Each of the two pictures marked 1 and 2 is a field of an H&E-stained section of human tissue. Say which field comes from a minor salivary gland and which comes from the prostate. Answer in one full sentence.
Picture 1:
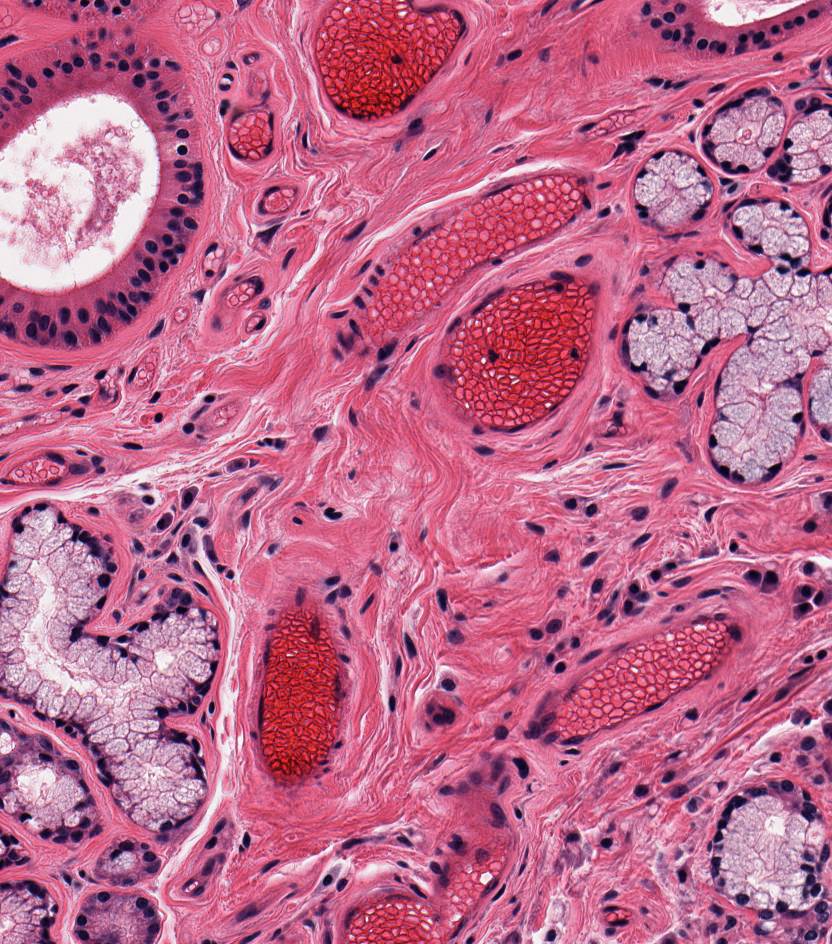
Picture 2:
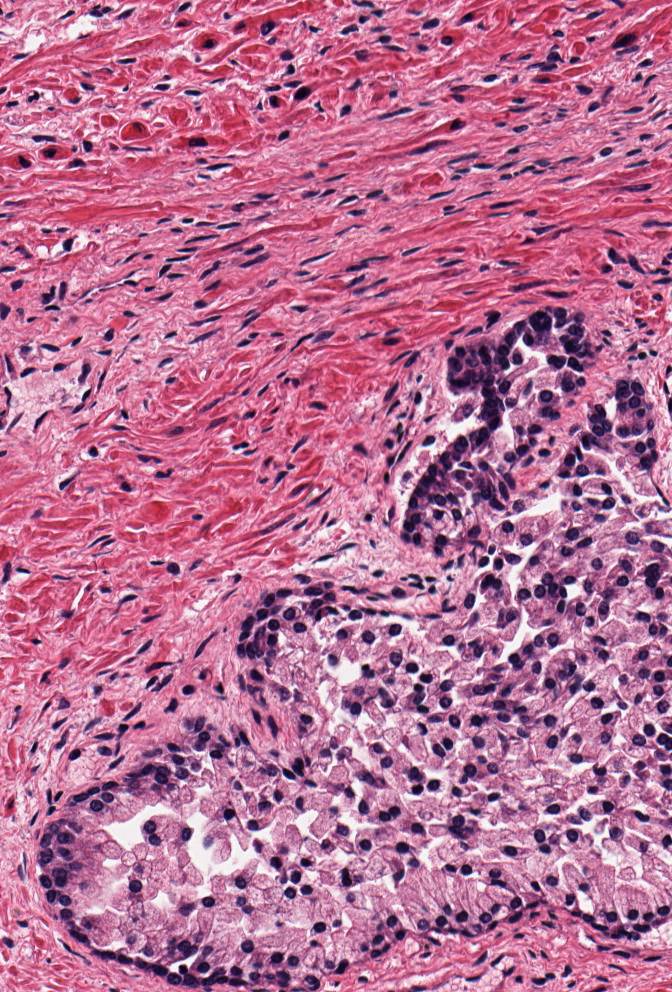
Picture 1 comes from a minor salivary gland and picture 2 comes from the prostate.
